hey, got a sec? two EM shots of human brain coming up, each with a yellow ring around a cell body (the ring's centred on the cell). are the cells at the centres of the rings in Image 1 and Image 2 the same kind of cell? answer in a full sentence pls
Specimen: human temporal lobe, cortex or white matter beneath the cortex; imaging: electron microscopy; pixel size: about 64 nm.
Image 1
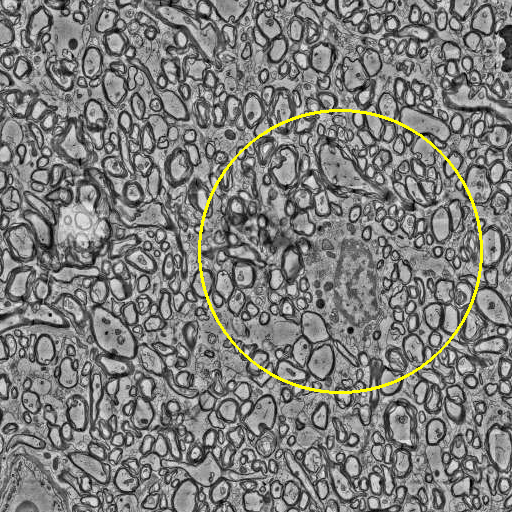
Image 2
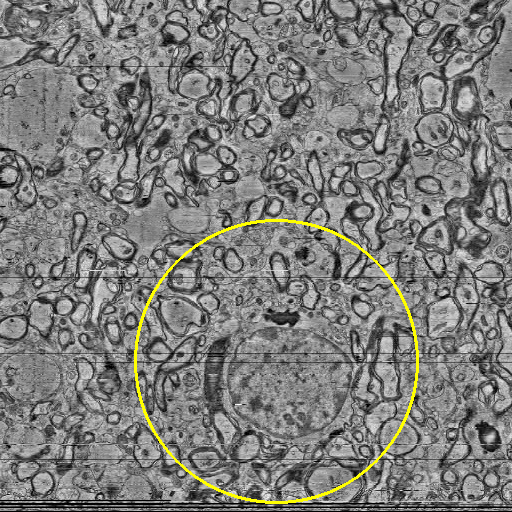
Yes, both are the same kind of cell.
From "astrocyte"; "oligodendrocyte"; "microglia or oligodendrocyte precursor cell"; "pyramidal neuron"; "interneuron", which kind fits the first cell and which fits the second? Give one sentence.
Each of the two rings surrounds an oligodendrocyte.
